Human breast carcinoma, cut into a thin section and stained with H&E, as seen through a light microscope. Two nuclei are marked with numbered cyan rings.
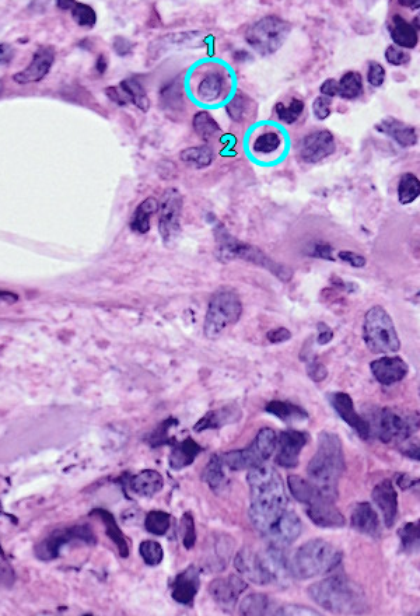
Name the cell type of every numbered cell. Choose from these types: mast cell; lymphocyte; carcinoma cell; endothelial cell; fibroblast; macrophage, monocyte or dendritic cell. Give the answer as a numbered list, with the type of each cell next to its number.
1. endothelial cell
2. lymphocyte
